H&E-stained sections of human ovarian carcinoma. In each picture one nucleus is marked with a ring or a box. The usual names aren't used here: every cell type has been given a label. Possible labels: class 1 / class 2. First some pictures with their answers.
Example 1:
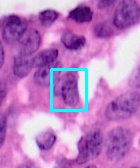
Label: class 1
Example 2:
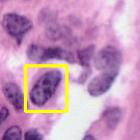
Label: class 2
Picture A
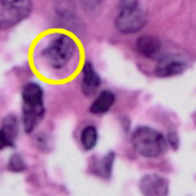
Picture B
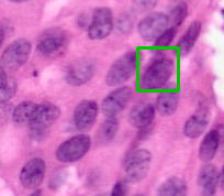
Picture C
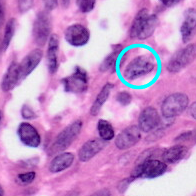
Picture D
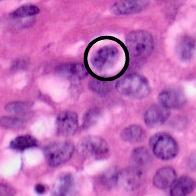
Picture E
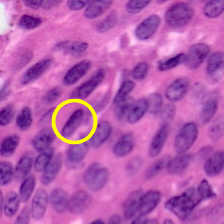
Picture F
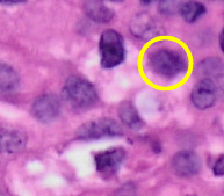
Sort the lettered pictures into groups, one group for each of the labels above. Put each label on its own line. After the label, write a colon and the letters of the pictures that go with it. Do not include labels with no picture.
class 1: B, E, F
class 2: A, C, D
